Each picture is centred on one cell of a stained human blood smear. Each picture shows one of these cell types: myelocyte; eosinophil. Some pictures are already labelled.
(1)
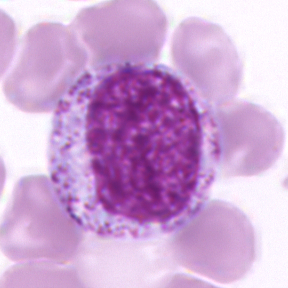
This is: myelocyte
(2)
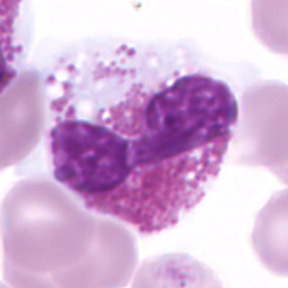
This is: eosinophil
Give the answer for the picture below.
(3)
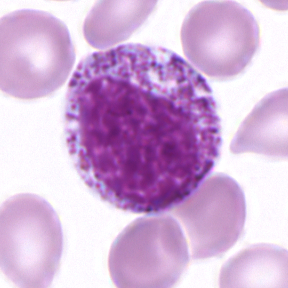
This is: myelocyte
